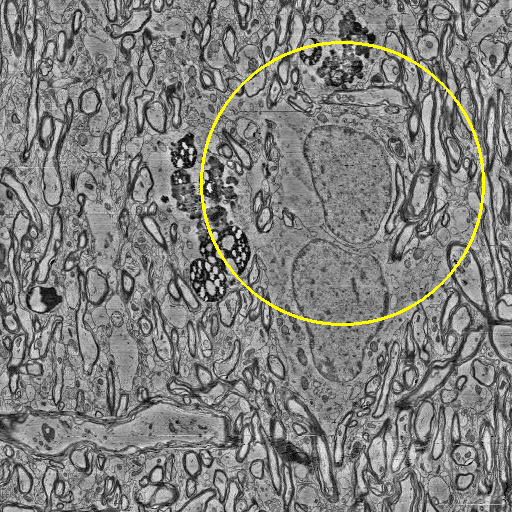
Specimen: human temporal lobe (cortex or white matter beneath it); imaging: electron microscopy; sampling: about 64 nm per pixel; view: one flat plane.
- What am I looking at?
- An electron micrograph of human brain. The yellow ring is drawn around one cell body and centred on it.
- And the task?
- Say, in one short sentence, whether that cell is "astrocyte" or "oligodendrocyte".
The cell in the middle of the ring is an astrocyte.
